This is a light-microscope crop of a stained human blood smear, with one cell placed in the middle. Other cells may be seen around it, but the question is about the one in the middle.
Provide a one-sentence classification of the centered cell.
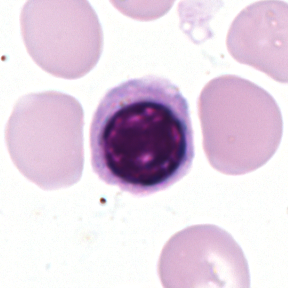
The cell found in the middle of this crop is an erythroblast.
